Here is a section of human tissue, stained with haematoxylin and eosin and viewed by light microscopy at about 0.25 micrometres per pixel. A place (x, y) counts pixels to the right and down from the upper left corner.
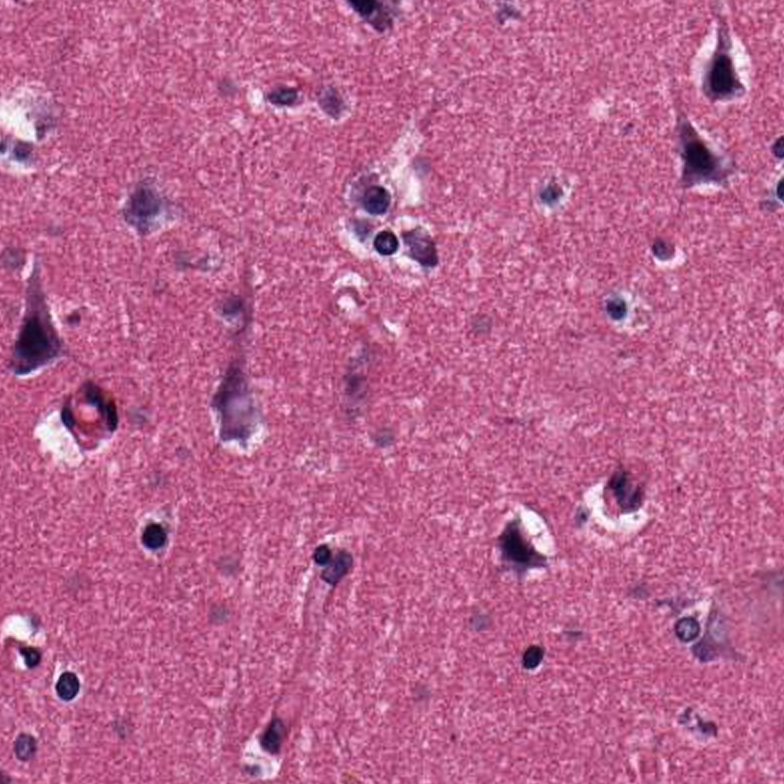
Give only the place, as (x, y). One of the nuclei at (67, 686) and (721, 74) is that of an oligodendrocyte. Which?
(67, 686)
